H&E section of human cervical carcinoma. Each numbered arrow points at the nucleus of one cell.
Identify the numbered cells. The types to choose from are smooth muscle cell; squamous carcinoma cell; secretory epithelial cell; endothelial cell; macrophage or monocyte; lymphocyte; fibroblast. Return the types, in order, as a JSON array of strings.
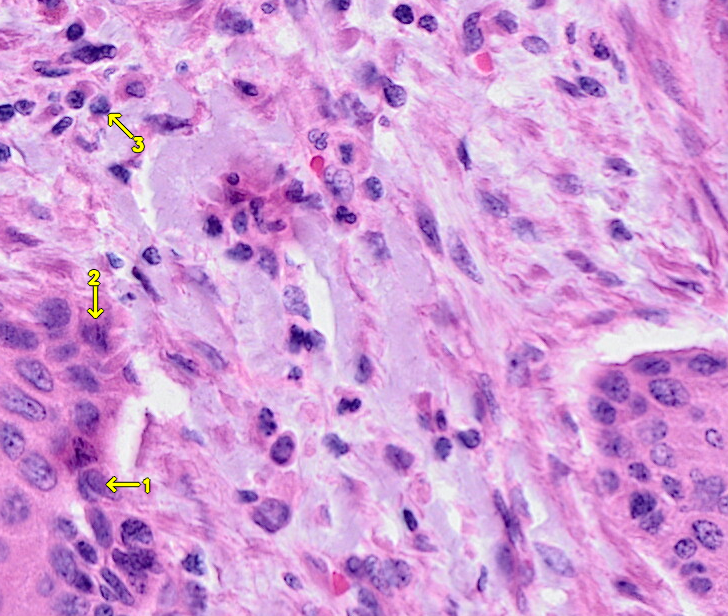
["squamous carcinoma cell", "squamous carcinoma cell", "lymphocyte"]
